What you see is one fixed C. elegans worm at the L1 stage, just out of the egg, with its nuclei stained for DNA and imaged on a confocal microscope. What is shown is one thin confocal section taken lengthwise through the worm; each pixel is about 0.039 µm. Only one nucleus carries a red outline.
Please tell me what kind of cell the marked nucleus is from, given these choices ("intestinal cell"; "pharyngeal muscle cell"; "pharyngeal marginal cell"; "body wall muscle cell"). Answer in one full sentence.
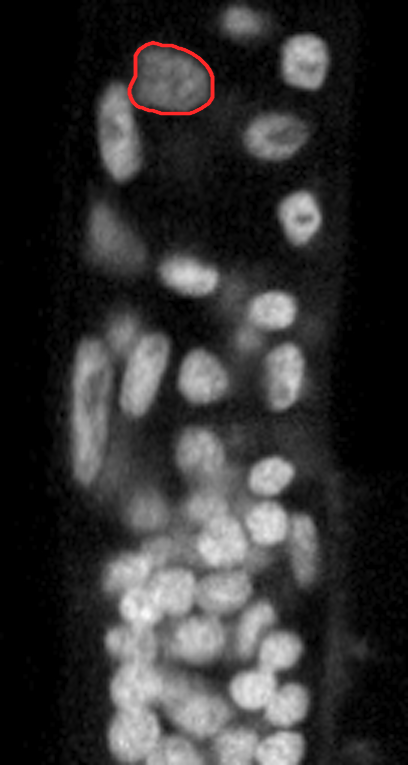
The nucleus comes from an intestinal cell.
